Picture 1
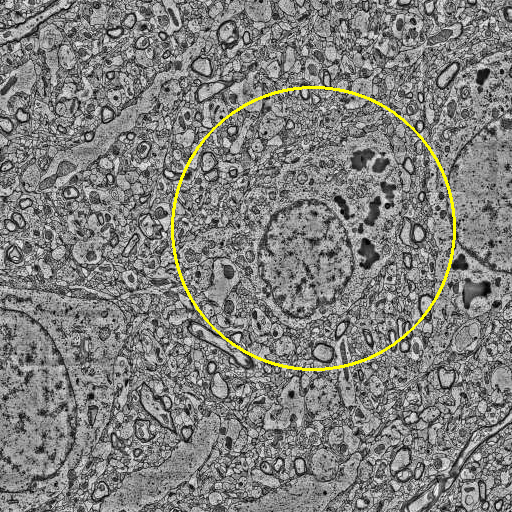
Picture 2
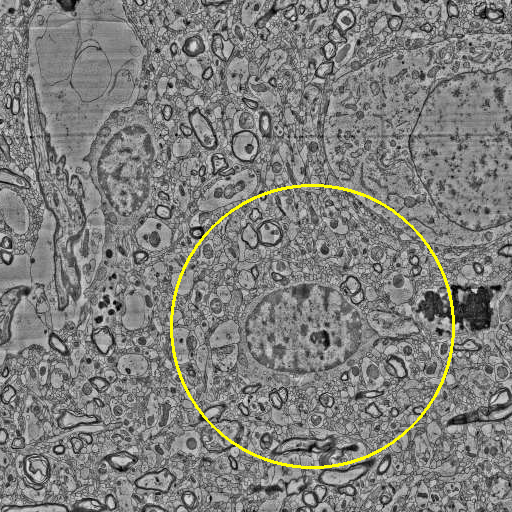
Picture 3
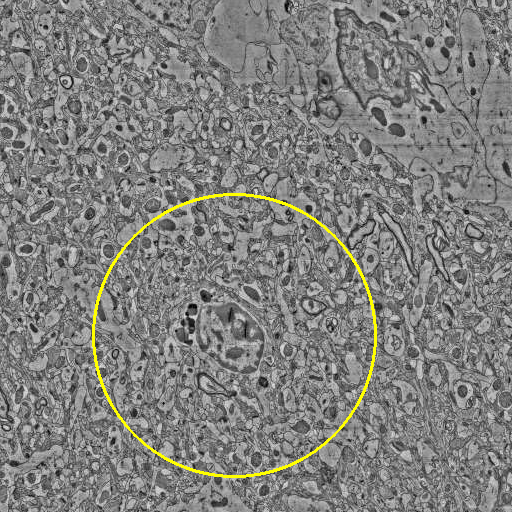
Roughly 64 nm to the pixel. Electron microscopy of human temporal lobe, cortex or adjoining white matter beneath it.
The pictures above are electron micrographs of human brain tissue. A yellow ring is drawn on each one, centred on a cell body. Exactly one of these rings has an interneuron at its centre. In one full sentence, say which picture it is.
Picture 1 has it at the centre of its ring.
